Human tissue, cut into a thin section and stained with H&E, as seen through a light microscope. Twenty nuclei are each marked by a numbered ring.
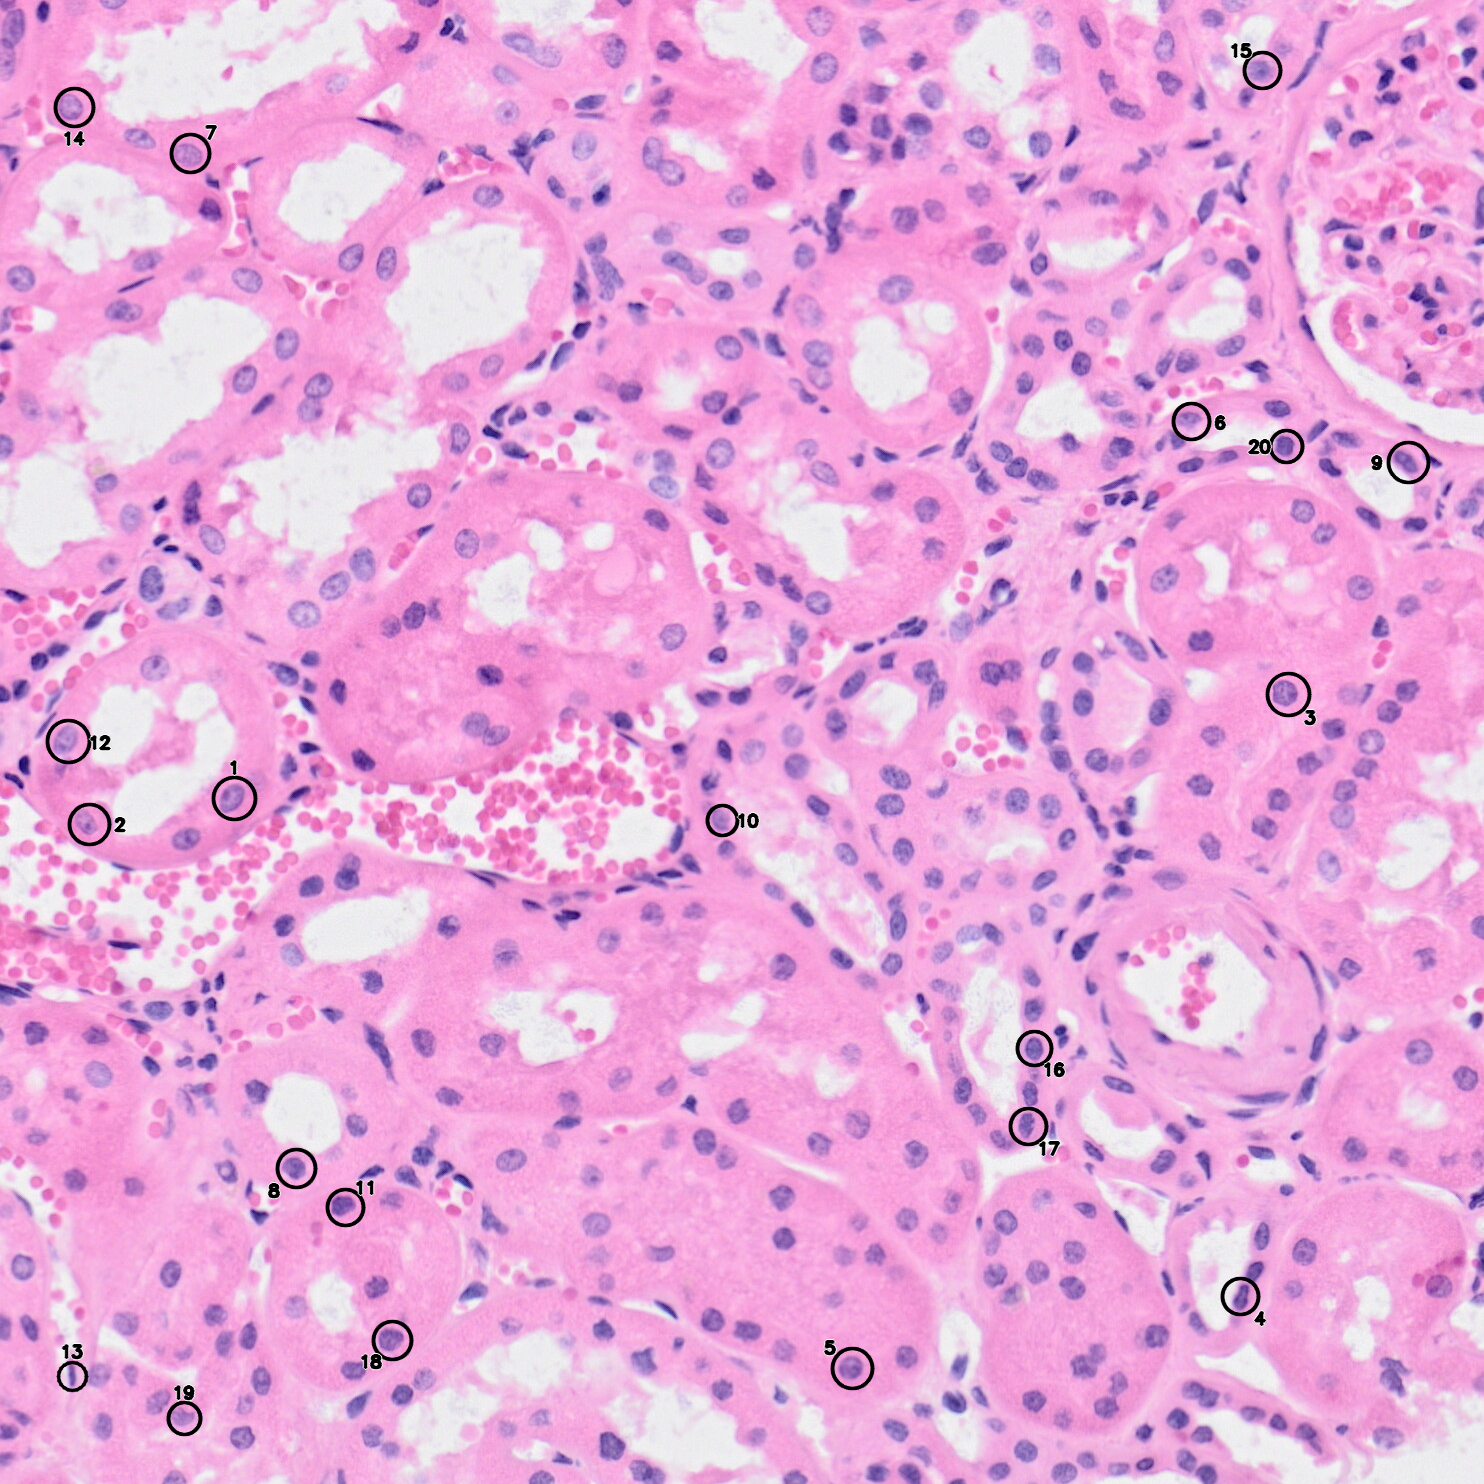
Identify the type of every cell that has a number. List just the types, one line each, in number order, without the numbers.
proximal tubule cell
proximal tubule cell
proximal tubule cell
collecting duct cell
proximal tubule cell
collecting duct cell
proximal tubule cell
loop of Henle or distal tubule cell
collecting duct cell
collecting duct cell
proximal tubule cell
proximal tubule cell
endothelial cell
proximal tubule cell
loop of Henle or distal tubule cell
collecting duct cell
collecting duct cell
proximal tubule cell
proximal tubule cell
collecting duct cell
